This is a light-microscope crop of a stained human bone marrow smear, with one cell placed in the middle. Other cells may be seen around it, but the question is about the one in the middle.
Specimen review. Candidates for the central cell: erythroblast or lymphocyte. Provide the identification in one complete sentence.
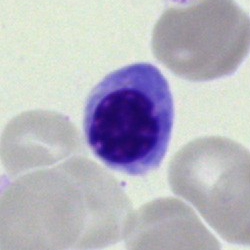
As for the cell in the middle, it is an erythroblast.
